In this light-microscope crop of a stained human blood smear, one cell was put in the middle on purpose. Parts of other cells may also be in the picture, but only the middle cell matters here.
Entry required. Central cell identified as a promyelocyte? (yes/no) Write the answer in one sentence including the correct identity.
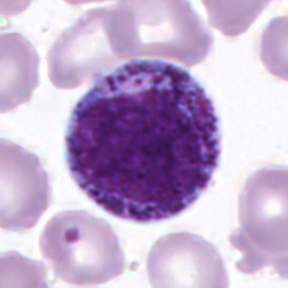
Yes, the cell at the centre is designated a promyelocyte.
